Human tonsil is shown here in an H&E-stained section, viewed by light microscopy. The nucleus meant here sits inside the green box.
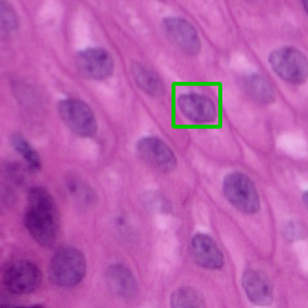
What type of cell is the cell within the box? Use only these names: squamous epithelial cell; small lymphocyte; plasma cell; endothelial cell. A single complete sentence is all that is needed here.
As classified here, the cell within the box is a squamous epithelial cell.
